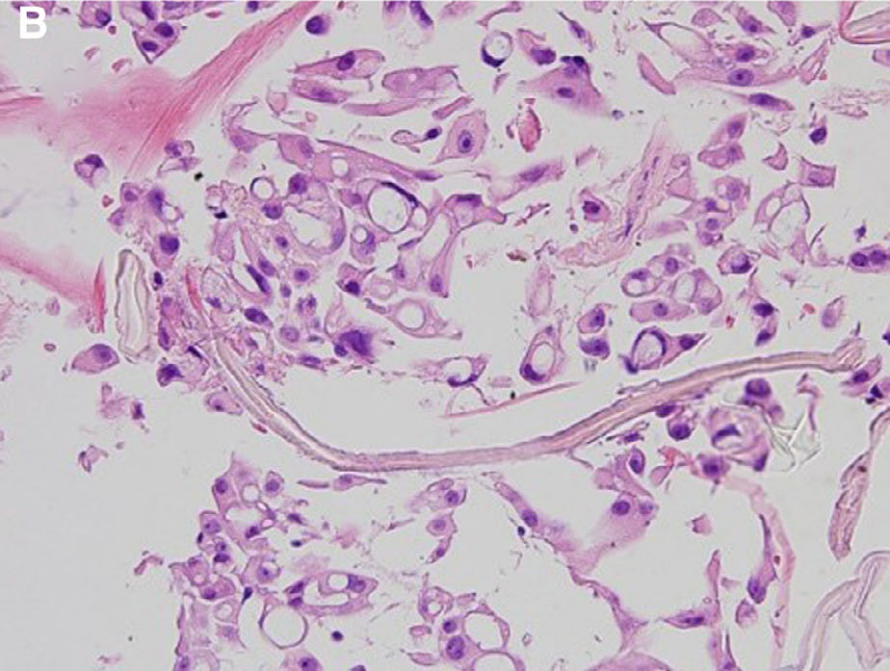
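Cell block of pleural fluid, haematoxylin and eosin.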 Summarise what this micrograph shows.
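The cells are polygonal to somewhat elongated, with round, dark purple nuclei, some with visible nucleoli, and a fair amount of pink cytoplasm. Some cells carry two nuclei. Many cells contain round, clear vacuoles within the cytoplasm, some large enough to push the nucleus to one side, and some of these hold faintly pink material. A long, thin, folded pink band crosses the field between the cell groups.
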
